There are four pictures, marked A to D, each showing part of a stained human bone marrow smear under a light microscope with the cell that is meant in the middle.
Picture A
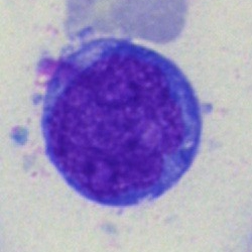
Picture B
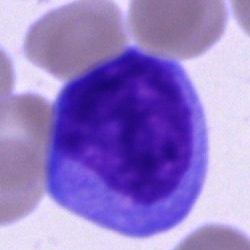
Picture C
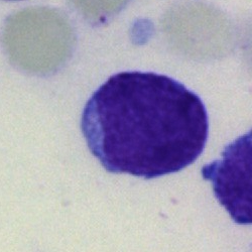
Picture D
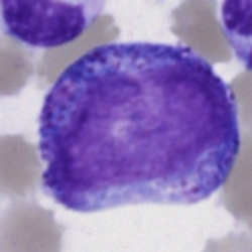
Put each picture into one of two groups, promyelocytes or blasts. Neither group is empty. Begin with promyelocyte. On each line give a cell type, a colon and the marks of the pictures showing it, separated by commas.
promyelocyte: D
blast: A, B, C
